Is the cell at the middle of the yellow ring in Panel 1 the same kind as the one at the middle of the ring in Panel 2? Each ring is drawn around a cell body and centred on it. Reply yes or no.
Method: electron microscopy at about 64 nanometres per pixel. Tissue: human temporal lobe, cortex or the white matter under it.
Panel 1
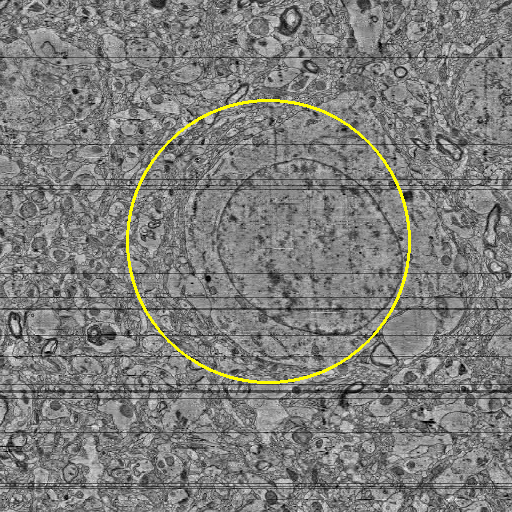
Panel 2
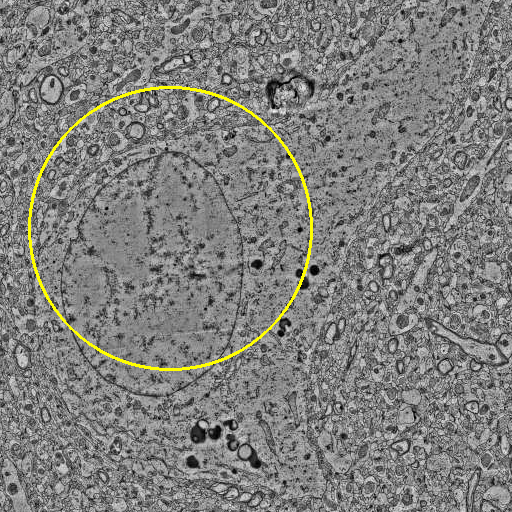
yes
